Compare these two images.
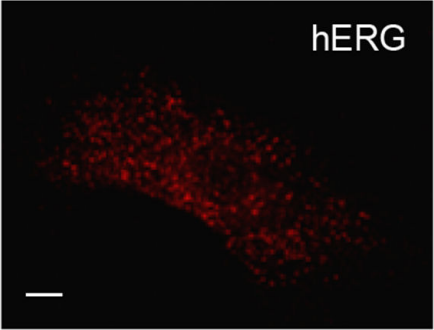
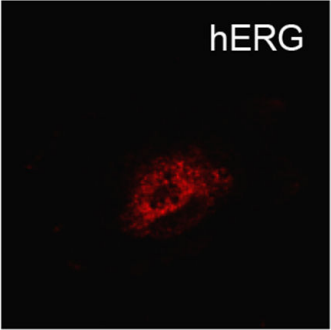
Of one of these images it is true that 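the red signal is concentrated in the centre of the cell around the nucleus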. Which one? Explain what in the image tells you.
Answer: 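First image: red dots are spread over the whole spread-out cell out to its edges. Second image: red dots form a dense cluster around a dark central nucleus, with little at the cell periphery.
Answer: the second image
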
